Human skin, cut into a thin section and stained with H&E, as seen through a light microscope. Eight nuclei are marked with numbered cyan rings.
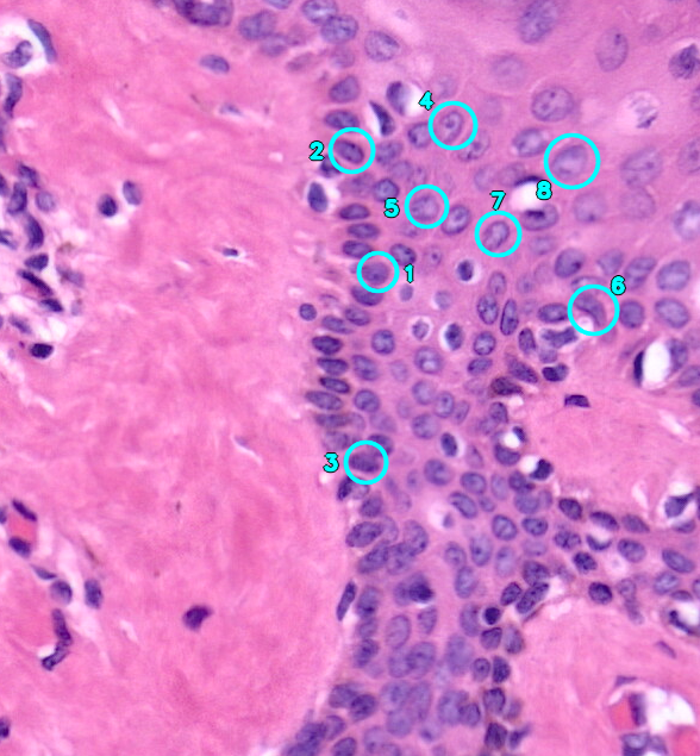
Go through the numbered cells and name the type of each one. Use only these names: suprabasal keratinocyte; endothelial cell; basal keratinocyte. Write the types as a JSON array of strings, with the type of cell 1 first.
["basal keratinocyte", "basal keratinocyte", "basal keratinocyte", "suprabasal keratinocyte", "suprabasal keratinocyte", "basal keratinocyte", "suprabasal keratinocyte", "suprabasal keratinocyte"]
